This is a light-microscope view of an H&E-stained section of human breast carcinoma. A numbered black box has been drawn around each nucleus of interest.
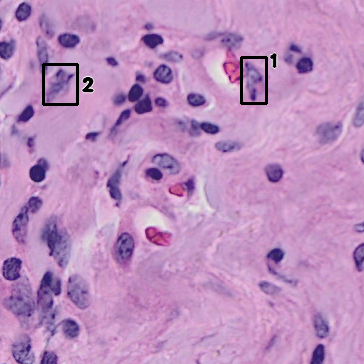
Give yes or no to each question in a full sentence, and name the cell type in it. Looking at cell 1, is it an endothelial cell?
Yes, to put it simply, cell number 1 is an endothelial cell.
